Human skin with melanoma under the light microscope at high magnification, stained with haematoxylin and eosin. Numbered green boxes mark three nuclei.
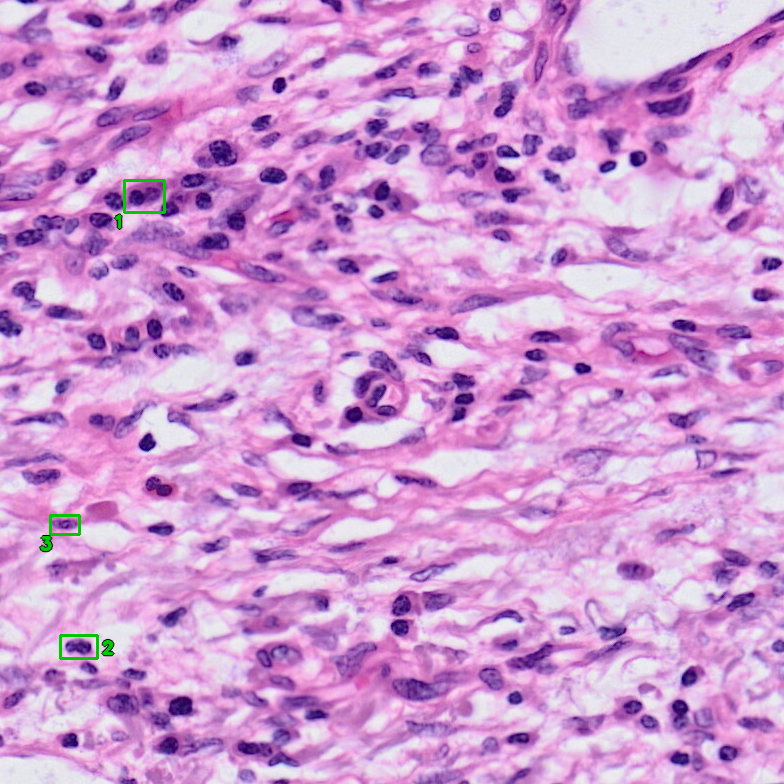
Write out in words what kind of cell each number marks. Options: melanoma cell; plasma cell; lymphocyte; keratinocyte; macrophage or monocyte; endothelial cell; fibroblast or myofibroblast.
Cell 1 is a plasma cell, cell 2 is a lymphocyte and cell 3 is a macrophage or monocyte.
